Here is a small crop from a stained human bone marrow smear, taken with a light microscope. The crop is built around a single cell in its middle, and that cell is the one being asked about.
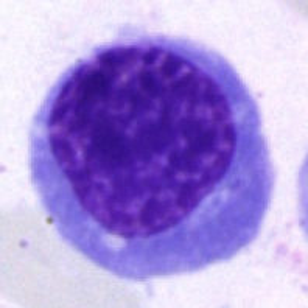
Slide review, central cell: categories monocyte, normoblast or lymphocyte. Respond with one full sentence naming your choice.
The cell in the middle of this crop is a normoblast.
